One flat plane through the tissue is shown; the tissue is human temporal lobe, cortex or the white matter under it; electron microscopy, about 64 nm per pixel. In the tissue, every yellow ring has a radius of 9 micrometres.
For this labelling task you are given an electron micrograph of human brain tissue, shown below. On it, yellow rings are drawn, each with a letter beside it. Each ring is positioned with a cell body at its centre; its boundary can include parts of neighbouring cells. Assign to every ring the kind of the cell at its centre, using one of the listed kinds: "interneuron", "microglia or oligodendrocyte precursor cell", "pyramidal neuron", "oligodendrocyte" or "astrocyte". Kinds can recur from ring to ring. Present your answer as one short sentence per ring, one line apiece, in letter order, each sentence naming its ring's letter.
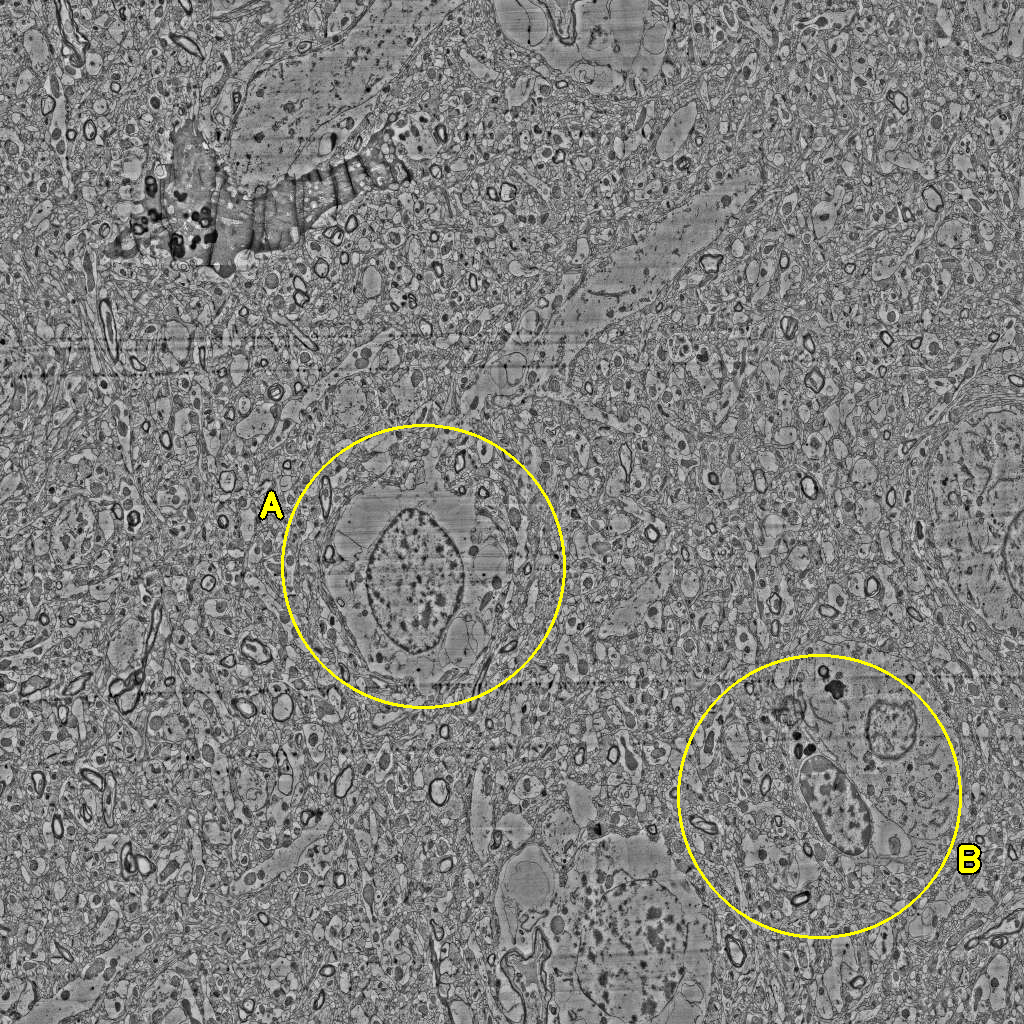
The cell in the middle of ring A is an astrocyte.
The cell in the middle of ring B is a microglial cell or oligodendrocyte precursor cell.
